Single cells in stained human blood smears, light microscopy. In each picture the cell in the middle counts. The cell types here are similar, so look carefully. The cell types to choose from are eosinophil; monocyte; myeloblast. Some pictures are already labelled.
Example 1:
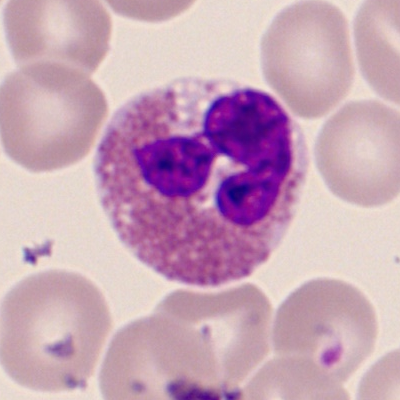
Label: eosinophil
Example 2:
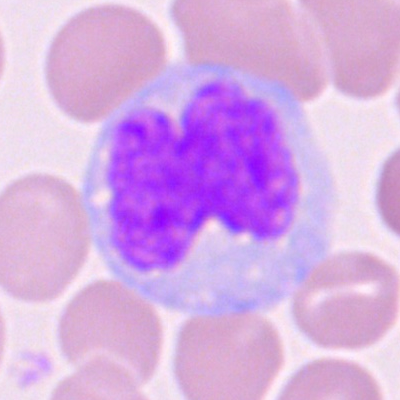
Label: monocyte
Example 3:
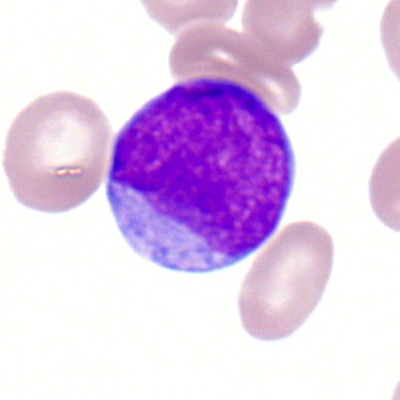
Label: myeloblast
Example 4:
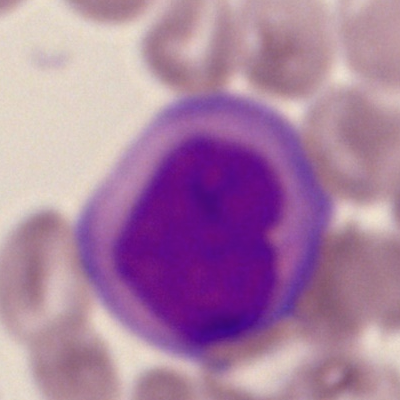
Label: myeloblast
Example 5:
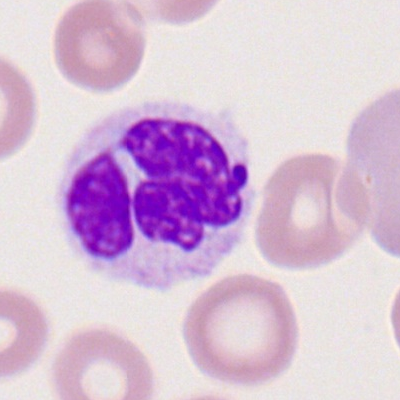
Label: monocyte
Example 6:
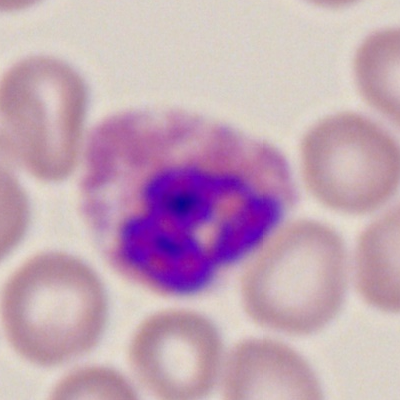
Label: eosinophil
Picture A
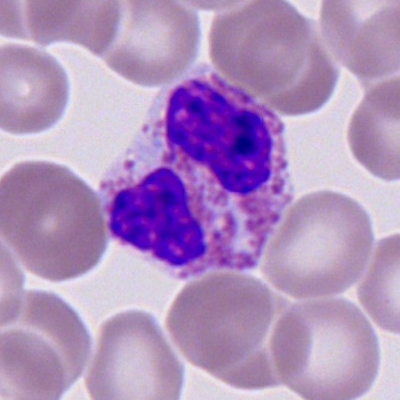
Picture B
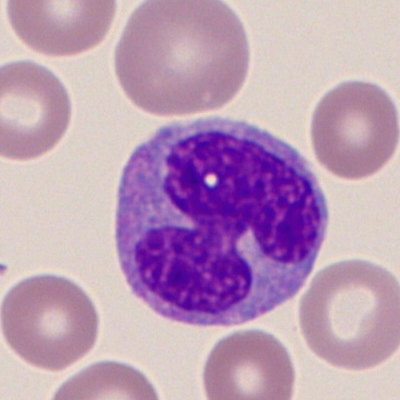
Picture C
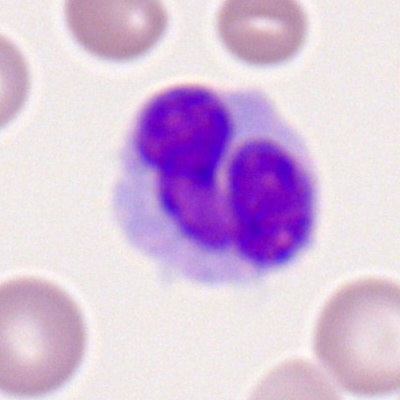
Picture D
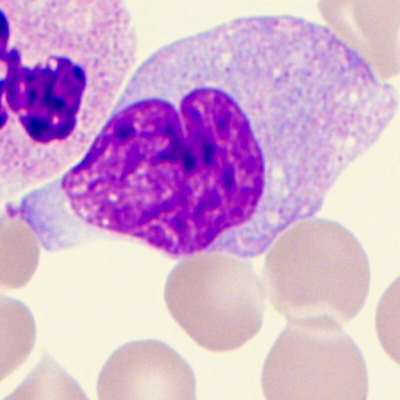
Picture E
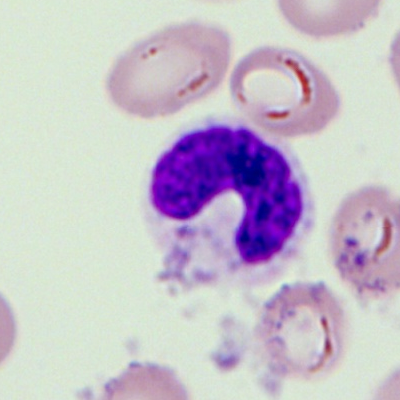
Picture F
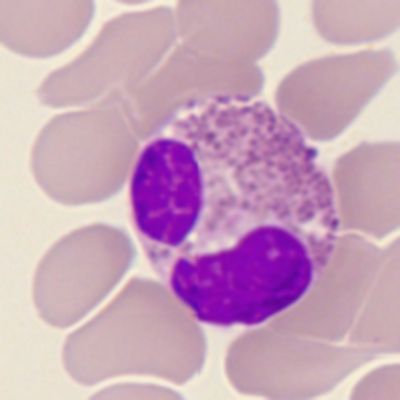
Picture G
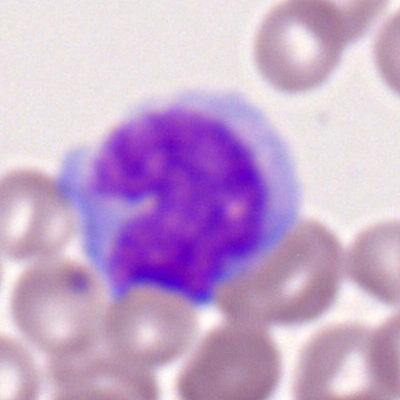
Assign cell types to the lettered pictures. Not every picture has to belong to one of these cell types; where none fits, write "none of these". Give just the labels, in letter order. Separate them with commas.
eosinophil, monocyte, monocyte, monocyte, none of these, eosinophil, monocyte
